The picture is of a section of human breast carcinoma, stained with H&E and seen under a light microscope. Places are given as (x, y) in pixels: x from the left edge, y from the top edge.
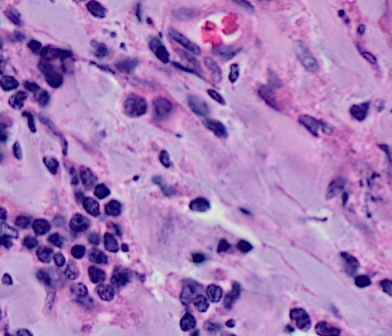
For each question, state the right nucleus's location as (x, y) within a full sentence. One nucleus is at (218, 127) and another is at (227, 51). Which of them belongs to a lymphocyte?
So, of the two, the nucleus at (218, 127) is the one belonging to a lymphocyte.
